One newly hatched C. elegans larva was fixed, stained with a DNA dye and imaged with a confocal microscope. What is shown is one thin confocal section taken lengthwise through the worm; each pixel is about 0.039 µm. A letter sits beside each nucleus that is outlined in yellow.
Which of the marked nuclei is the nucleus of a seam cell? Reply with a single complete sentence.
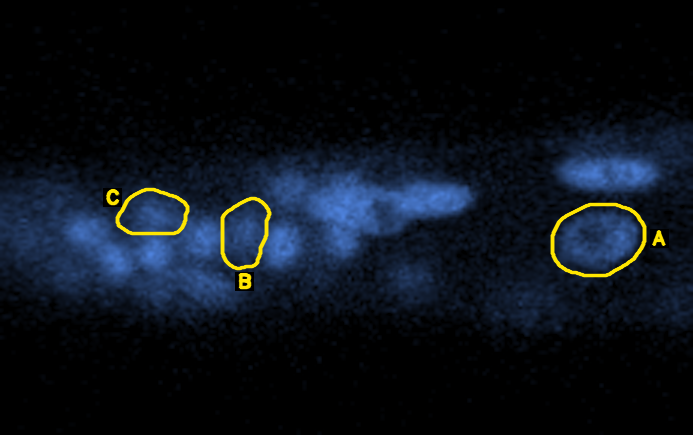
Of the marked nuclei, A is the one in a seam cell.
